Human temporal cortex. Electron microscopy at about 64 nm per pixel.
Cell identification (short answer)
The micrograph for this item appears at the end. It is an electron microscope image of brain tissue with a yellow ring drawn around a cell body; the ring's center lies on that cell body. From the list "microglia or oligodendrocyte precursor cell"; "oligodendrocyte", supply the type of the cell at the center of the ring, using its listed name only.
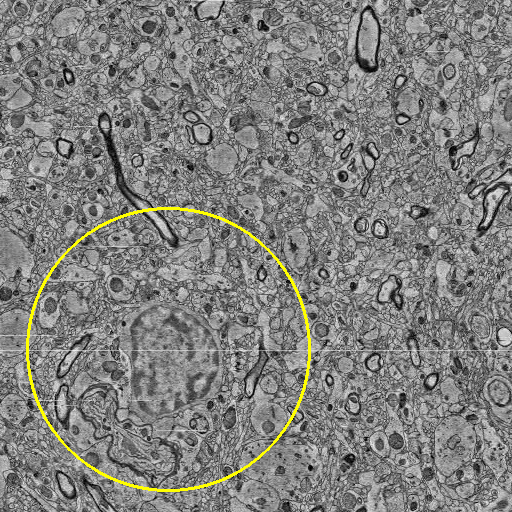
oligodendrocyte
